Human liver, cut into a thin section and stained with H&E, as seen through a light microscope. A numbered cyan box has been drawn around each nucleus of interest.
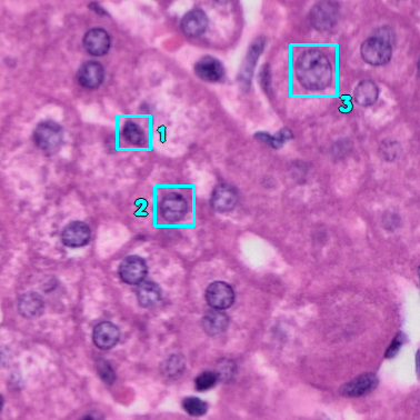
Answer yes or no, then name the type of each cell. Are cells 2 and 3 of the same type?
Yes, just like cell 2, cell 3 is one of the hepatocytes.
